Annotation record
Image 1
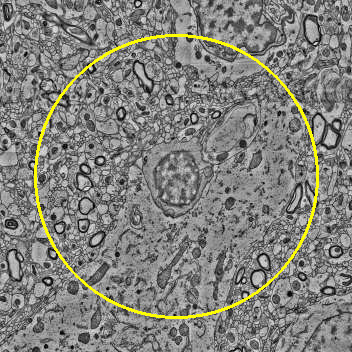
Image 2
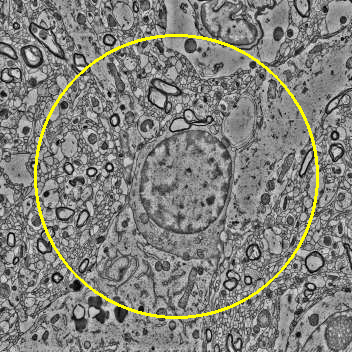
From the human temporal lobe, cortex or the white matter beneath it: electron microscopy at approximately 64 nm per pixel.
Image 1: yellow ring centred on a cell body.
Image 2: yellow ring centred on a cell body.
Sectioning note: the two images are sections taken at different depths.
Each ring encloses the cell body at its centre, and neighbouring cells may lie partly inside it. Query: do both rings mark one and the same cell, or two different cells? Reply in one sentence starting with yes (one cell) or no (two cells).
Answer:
Yes, both yellow rings were placed on the same cell.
